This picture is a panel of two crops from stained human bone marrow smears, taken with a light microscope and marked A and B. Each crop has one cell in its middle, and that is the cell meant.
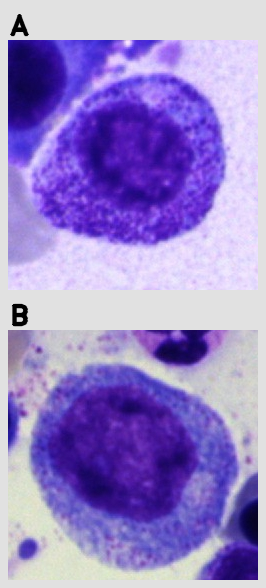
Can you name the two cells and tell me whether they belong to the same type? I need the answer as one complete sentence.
Yes, both crops are centred on cells that are promyelocytes.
